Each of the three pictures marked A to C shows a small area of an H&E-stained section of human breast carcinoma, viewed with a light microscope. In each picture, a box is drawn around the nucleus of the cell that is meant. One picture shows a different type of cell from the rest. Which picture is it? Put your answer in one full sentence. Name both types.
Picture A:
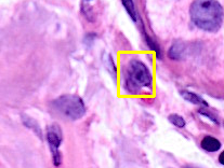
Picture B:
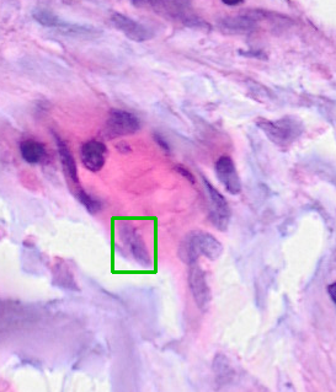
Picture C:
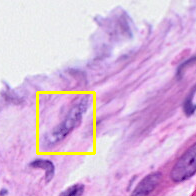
Picture C is the odd one out: it shows a fibroblast, while the others show endothelial cells.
